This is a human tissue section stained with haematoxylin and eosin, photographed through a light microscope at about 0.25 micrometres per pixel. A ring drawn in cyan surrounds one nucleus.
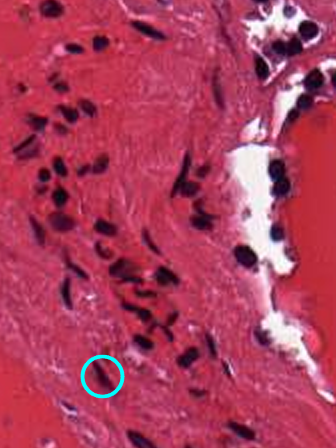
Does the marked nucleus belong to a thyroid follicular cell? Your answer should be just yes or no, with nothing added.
no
